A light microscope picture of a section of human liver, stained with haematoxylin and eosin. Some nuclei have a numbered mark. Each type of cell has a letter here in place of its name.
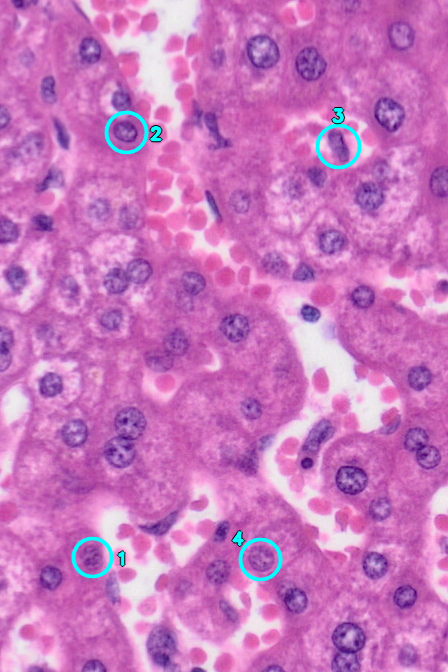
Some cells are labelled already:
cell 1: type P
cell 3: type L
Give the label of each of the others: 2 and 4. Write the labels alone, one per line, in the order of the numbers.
type P
type P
